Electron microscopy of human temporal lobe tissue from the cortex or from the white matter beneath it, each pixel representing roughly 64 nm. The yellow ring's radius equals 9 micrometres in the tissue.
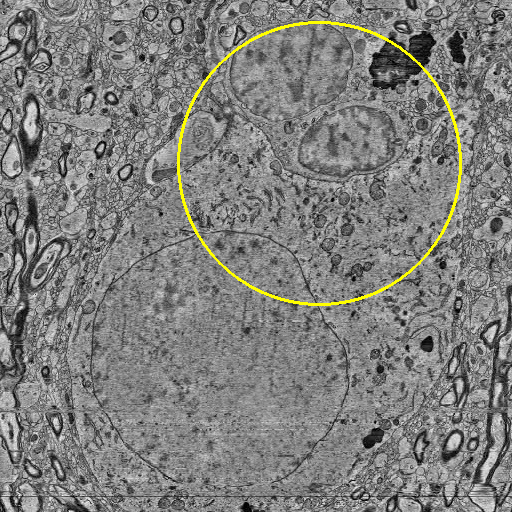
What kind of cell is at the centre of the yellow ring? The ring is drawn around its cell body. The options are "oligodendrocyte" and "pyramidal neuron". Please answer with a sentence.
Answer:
The yellow ring marks the cell body of an oligodendrocyte.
